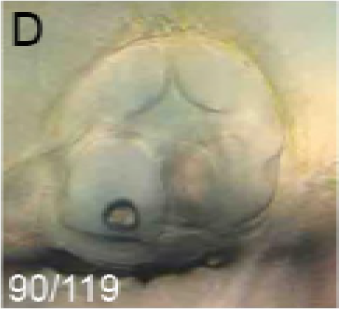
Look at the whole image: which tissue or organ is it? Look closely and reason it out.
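An oval fluid-filled vesicle with thin walls. Internal tissue pillars divide the lumen into chambers. A small dense round body lies in the lower anterior part.
Hence: ears.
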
